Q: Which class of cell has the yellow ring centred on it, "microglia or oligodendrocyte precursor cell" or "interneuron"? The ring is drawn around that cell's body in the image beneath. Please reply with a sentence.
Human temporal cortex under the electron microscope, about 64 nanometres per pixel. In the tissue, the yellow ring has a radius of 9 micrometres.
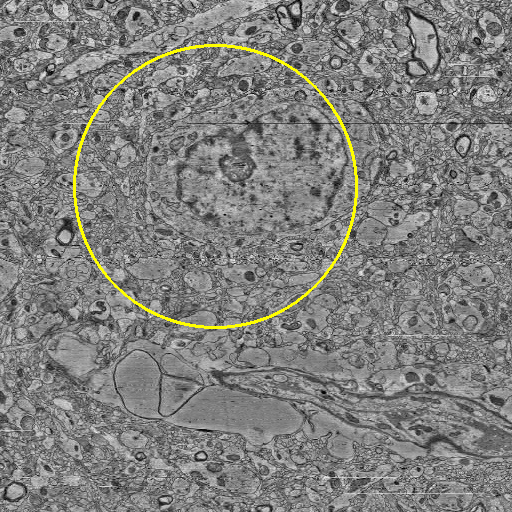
It is centred on an interneuron.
